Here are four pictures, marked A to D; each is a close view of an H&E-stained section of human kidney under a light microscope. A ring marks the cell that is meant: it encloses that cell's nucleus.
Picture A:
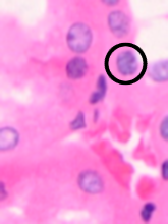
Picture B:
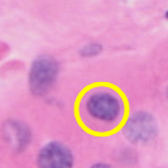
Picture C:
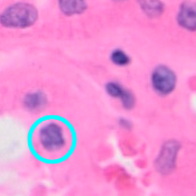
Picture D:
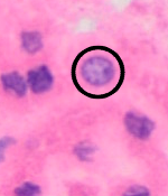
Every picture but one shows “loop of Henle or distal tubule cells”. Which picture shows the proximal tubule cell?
D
